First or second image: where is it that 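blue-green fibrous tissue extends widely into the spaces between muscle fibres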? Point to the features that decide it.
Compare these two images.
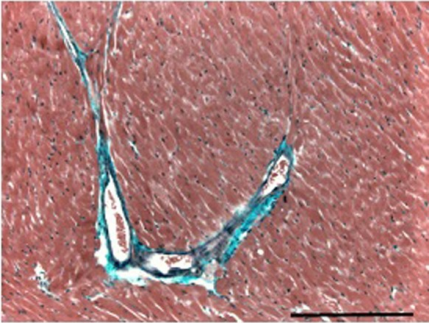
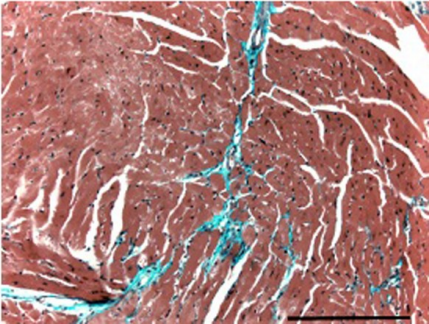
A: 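Second image: branching blue-green strands spread through gaps between many red muscle fibres. First image: blue-green stain is confined mostly to a rim around the vessels.
Answer: the second image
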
